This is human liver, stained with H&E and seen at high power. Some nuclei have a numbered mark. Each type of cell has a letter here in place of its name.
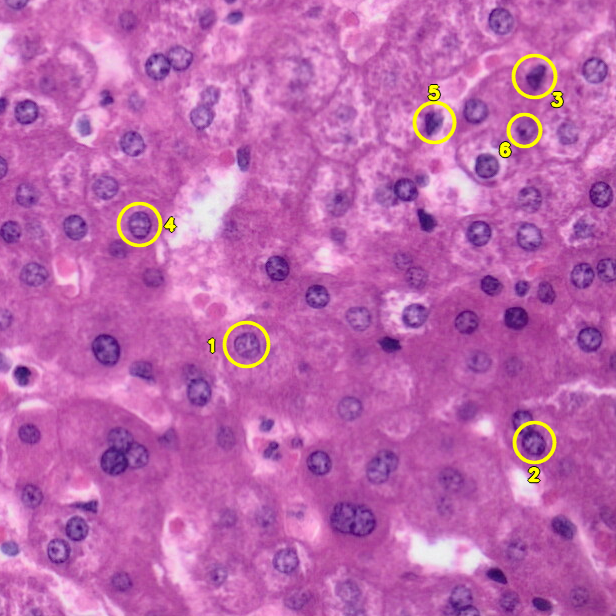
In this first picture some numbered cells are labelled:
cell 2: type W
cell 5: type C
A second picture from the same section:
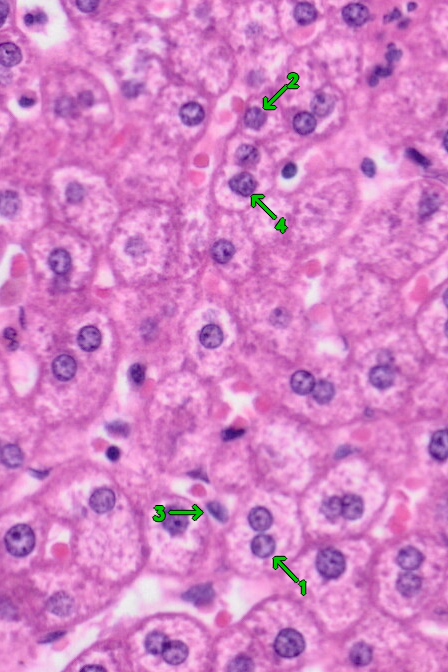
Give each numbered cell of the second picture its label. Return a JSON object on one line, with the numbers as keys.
{"1": "type W", "2": "type W", "3": "type C", "4": "type W"}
